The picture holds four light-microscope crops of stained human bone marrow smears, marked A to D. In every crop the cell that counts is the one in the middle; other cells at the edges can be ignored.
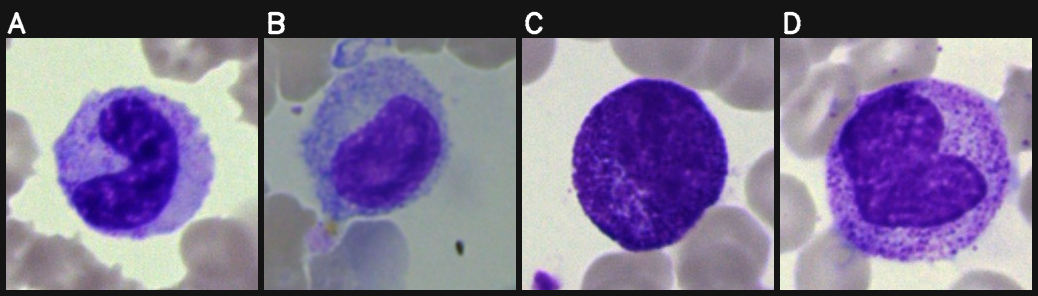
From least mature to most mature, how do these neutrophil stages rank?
C, B, D, A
